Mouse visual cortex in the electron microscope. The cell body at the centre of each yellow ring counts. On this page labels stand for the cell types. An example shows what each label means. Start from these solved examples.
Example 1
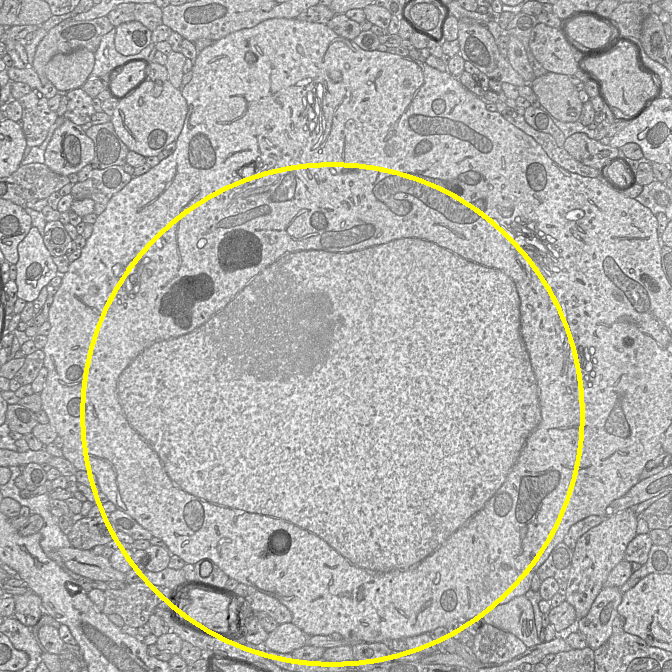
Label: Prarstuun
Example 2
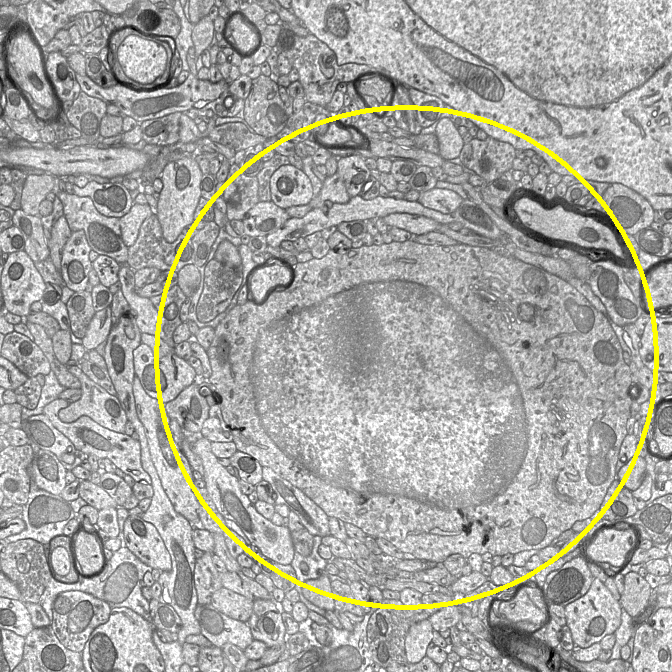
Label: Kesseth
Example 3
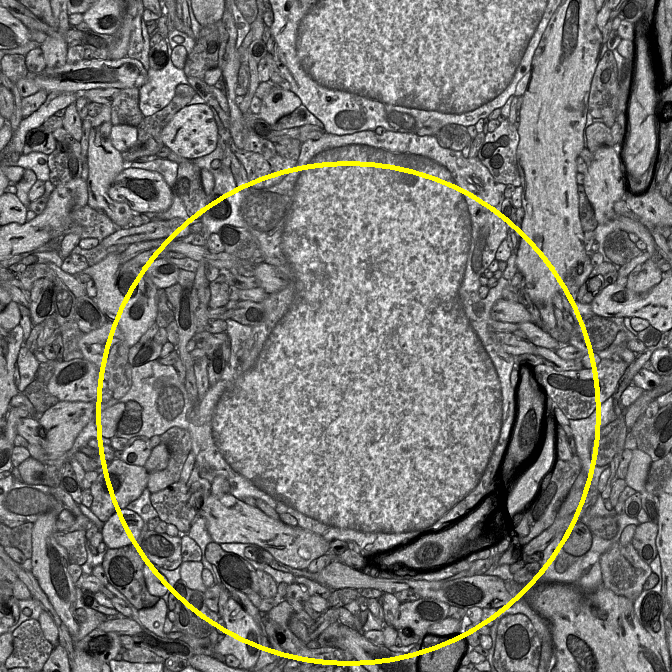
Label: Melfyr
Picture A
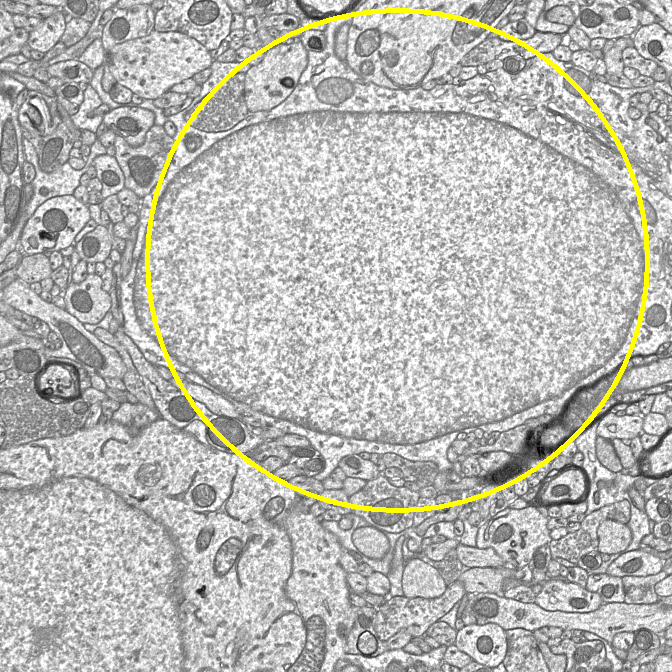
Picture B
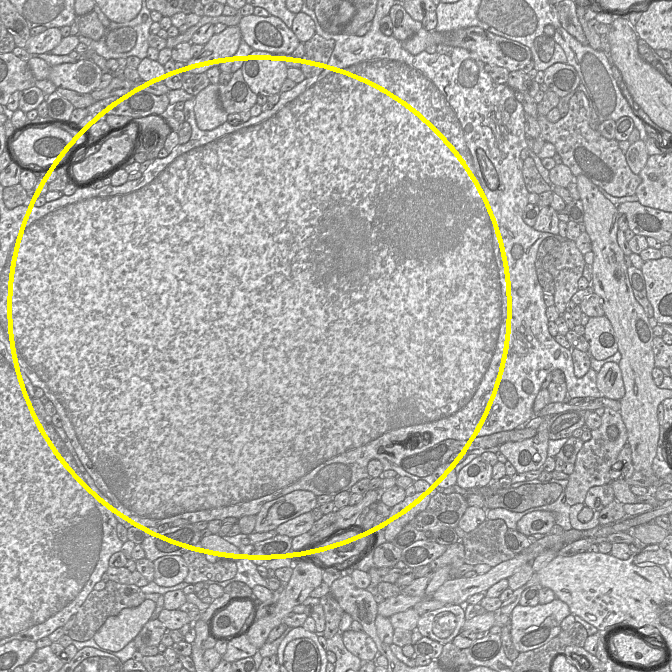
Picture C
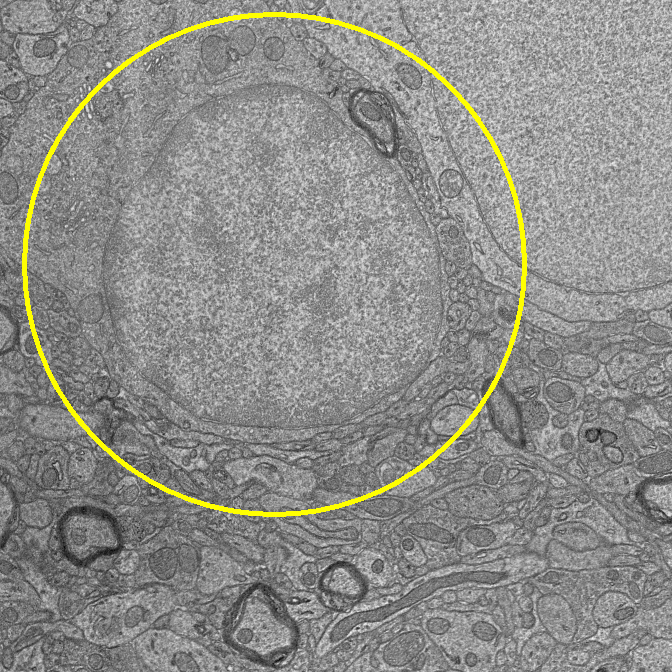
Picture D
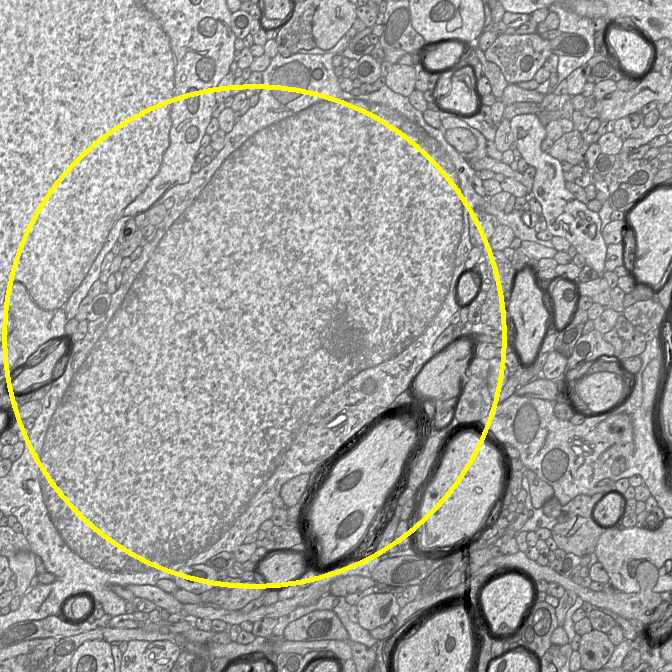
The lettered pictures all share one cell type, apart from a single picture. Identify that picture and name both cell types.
C differs and shows Kesseth; the others show Melfyr.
